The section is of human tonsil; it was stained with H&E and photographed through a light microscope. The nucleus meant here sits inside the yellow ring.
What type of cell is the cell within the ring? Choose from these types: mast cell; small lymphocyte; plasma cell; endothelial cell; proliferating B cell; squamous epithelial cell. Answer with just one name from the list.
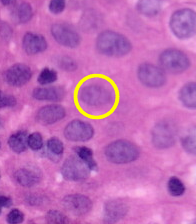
squamous epithelial cell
